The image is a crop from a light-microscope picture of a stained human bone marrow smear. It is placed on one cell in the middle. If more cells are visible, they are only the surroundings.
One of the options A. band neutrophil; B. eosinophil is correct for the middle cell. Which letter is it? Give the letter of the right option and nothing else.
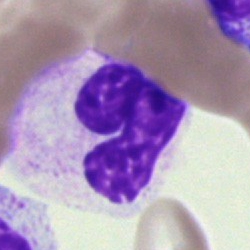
A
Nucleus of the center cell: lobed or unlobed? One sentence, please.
The nuclear material is gathered into one compact round, oval or kidney-shaped mass.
